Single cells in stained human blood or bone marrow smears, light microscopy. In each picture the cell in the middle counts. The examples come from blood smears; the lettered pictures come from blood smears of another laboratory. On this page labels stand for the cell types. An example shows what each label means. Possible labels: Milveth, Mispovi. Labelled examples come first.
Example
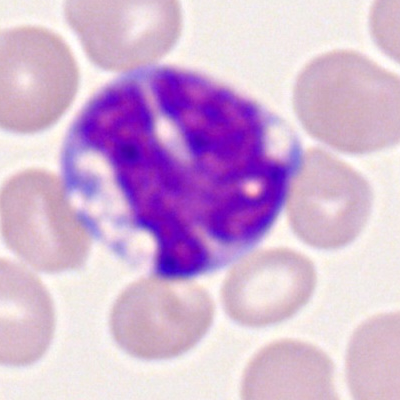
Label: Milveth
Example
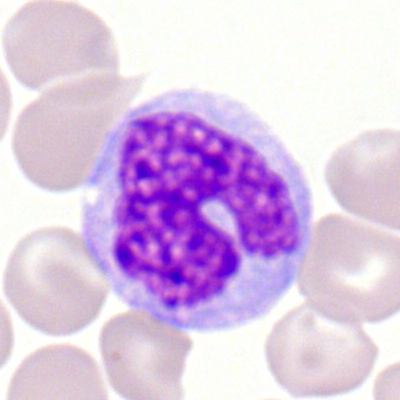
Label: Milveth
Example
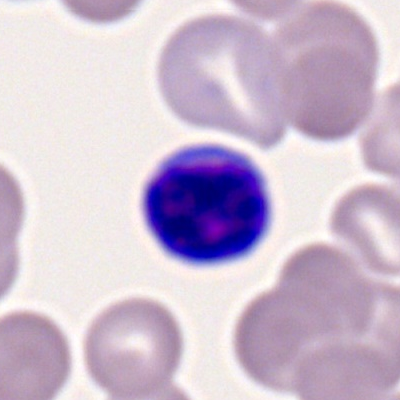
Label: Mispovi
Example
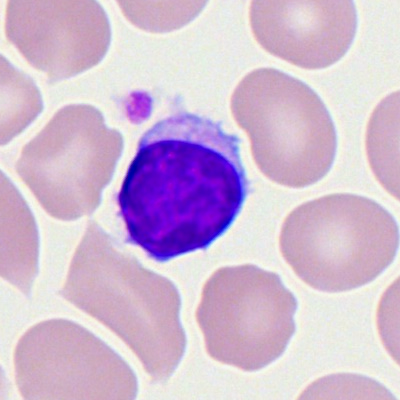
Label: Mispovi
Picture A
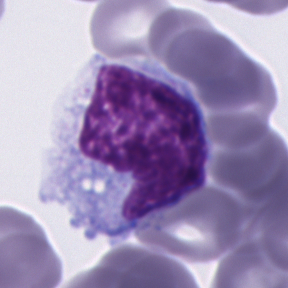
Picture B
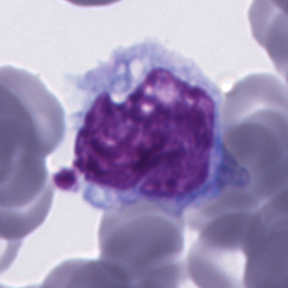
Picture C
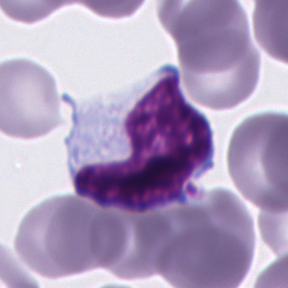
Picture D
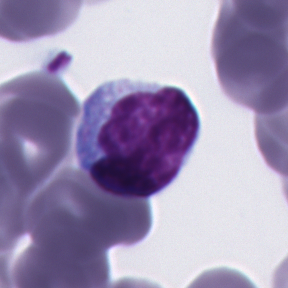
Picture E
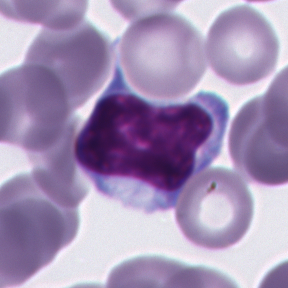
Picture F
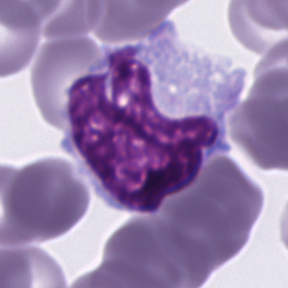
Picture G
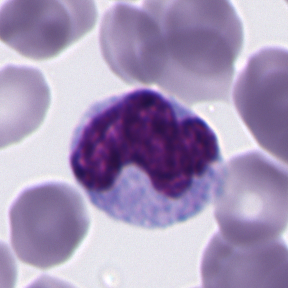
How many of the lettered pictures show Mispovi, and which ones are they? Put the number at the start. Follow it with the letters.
3, namely C, D, E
